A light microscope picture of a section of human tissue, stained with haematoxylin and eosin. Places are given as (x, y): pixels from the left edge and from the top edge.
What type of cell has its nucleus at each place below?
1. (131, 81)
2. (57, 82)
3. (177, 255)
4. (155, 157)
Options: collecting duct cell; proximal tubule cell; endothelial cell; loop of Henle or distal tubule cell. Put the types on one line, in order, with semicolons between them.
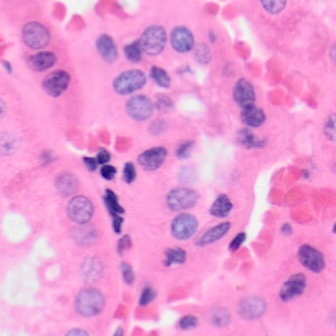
collecting duct cell; proximal tubule cell; loop of Henle or distal tubule cell; collecting duct cell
